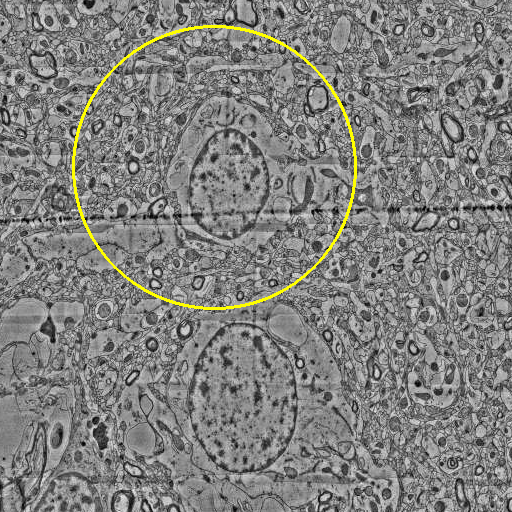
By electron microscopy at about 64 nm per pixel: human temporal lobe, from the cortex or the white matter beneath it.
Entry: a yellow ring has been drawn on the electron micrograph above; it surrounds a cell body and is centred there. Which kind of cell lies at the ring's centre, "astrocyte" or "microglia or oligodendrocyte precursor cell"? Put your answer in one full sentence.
The cell sitting at the ring's centre is an astrocyte in the micrograph above.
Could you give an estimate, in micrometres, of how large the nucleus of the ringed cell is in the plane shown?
Roughly 7 by 5 micrometres in this plane, for the nucleus of the ringed cell.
